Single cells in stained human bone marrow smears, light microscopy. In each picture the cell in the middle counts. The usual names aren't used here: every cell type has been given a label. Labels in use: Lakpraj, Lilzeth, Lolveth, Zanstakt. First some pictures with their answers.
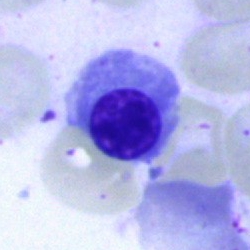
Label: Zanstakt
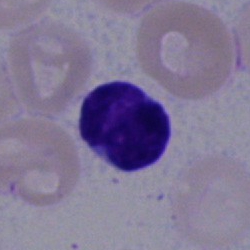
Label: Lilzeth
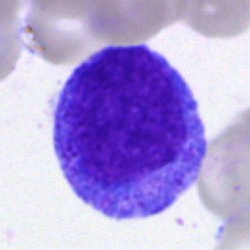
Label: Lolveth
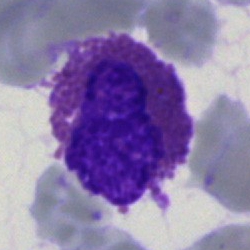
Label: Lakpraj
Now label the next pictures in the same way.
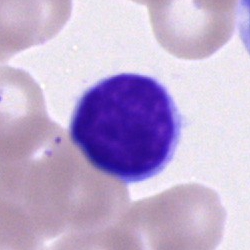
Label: Lilzeth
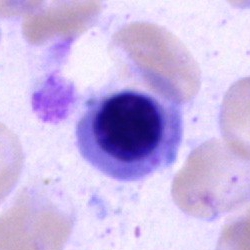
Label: Zanstakt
